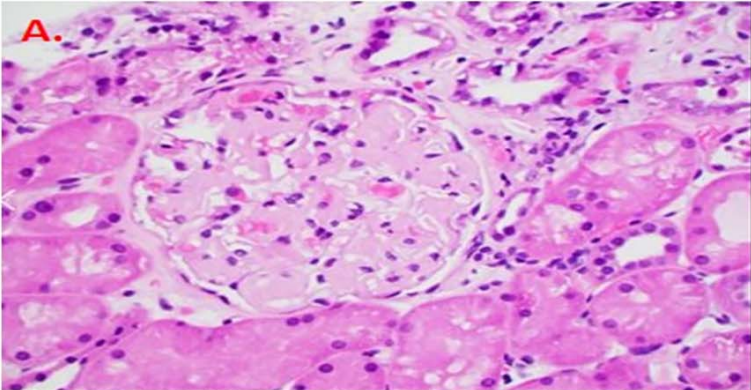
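A round glomerulus sits in the centre, enclosed by a thin capsule and surrounded by cross-cut tubules whose cells have pink, granular cytoplasm and round dark nuclei. The glomerular tuft is lobulated and largely filled with pale pink, glassy, structureless material, with relatively few nuclei scattered among it. The interstitium between the tubules holds scattered small dark nuclei. This is a glomerulus with nodular mesangial expansion by amorphous, eosinophilic, acellular material.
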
